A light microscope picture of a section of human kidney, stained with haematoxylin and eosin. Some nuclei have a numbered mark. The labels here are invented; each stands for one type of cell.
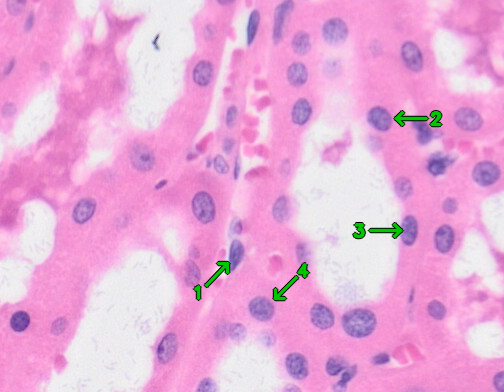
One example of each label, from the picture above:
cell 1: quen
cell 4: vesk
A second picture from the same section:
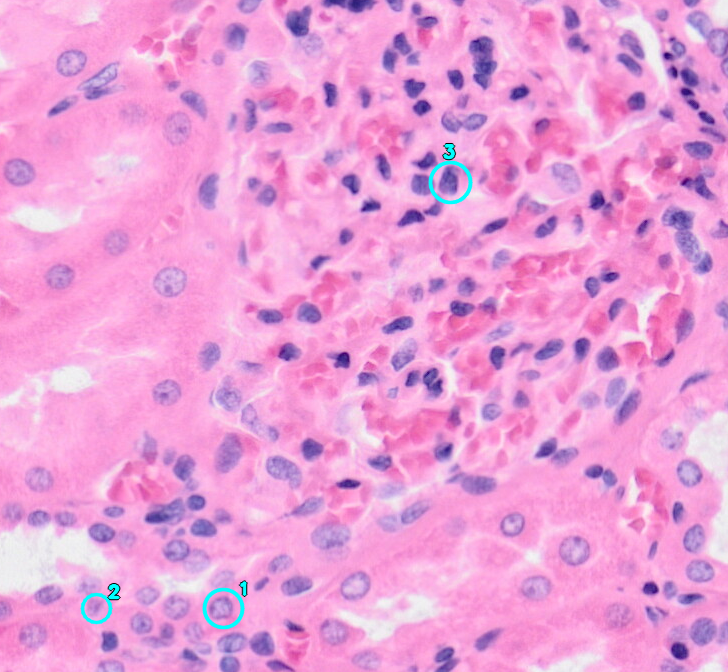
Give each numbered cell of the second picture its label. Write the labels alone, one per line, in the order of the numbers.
vesk
vesk
quen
